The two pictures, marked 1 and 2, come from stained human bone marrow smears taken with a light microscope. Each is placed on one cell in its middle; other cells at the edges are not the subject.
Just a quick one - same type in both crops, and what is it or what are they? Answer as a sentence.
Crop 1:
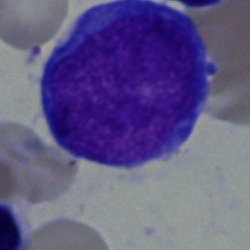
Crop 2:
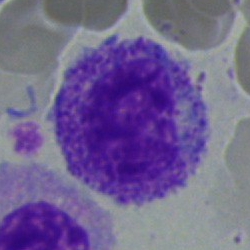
No, crop 2 shows a myelocyte, and crop 1 shows a blast.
